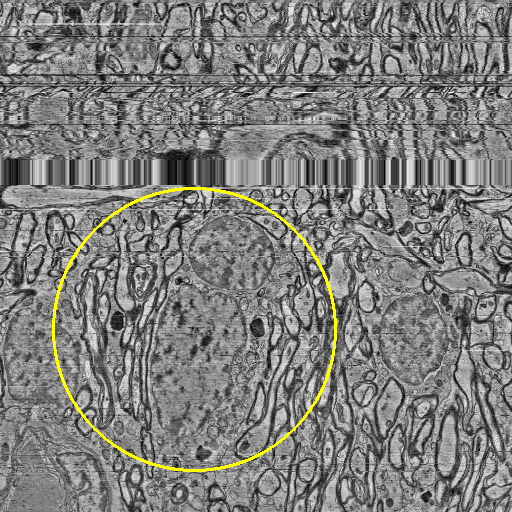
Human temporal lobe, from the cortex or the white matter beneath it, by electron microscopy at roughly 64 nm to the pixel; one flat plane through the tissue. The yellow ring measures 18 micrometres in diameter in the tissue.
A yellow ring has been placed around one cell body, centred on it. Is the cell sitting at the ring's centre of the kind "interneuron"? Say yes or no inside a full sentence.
Yes, the cell sitting at the centre of the yellow ring is of that kind.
